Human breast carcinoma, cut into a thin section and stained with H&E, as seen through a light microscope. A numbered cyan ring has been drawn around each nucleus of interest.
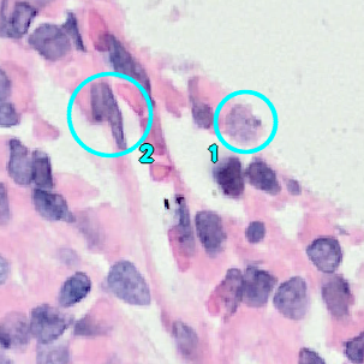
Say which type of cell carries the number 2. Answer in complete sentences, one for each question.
The correct answer for cell 2 is an endothelial cell.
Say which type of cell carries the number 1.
The expected answer is that cell 1 is a carcinoma cell.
